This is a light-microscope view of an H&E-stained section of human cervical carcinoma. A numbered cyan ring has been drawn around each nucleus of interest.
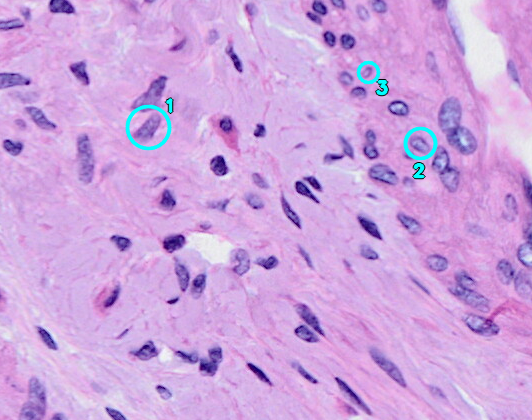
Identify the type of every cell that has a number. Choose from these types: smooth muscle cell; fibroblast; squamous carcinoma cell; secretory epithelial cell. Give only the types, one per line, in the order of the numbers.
fibroblast
smooth muscle cell
smooth muscle cell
